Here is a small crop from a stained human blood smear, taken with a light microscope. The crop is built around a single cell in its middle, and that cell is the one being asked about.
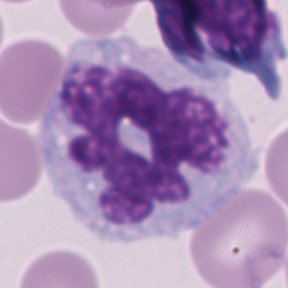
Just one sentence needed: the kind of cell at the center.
The cell centred in this crop is categorized as a monocyte.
